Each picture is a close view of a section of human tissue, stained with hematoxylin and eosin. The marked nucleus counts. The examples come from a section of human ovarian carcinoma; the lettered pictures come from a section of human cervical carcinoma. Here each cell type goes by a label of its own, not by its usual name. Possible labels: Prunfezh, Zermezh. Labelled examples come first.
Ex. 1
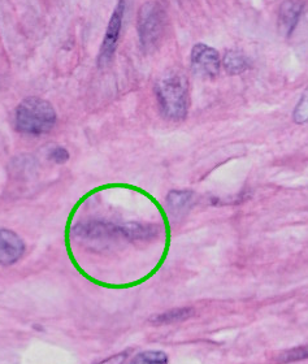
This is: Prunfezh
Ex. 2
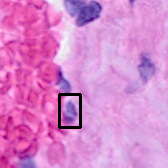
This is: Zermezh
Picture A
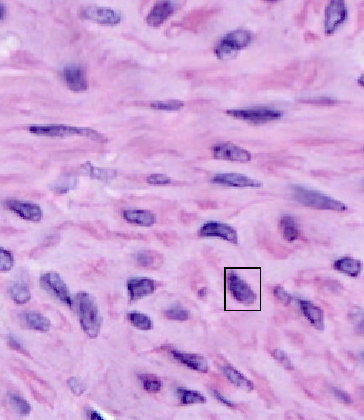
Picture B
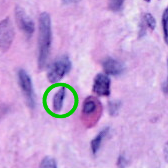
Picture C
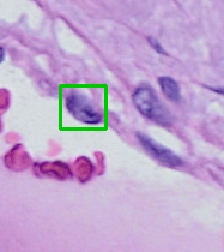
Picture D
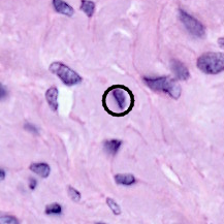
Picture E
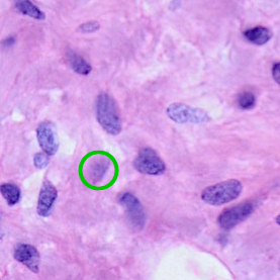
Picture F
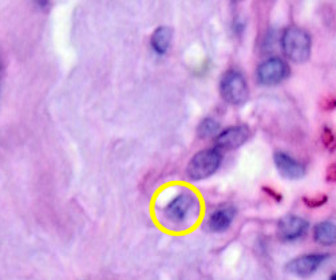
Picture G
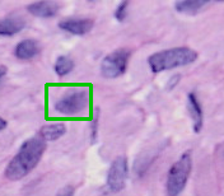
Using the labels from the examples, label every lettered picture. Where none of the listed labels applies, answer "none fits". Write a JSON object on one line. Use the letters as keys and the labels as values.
{"A": "none fits", "B": "Prunfezh", "C": "Zermezh", "D": "Prunfezh", "E": "Prunfezh", "F": "Zermezh", "G": "Prunfezh"}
